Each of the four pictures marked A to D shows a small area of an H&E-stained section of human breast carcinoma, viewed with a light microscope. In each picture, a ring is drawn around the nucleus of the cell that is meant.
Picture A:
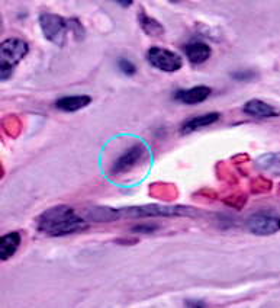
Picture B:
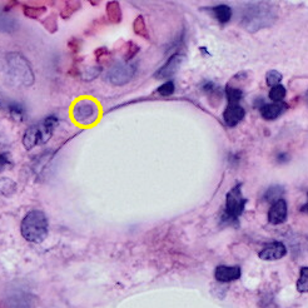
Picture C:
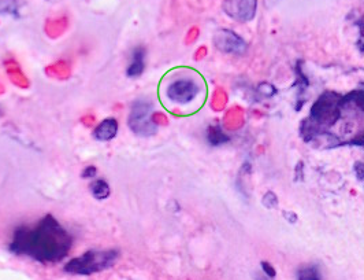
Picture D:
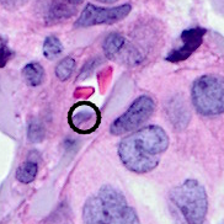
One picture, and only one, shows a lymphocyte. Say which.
C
